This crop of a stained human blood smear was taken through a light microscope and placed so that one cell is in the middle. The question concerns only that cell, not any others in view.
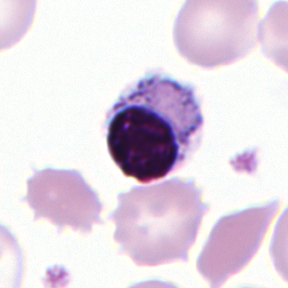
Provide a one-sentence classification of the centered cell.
The cell shown in the center of this light-microscope crop is an erythroblast.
